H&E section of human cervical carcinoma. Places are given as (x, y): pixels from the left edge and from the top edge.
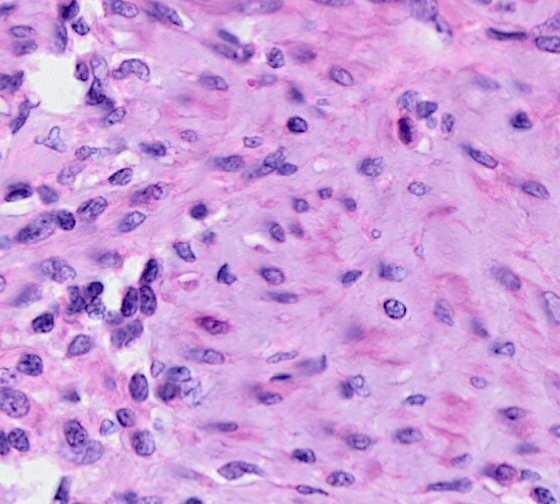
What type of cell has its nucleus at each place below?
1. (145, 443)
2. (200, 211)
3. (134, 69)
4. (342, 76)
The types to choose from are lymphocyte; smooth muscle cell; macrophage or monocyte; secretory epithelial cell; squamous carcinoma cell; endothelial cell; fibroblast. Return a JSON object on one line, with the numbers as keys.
{"1": "macrophage or monocyte", "2": "lymphocyte", "3": "macrophage or monocyte", "4": "smooth muscle cell"}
